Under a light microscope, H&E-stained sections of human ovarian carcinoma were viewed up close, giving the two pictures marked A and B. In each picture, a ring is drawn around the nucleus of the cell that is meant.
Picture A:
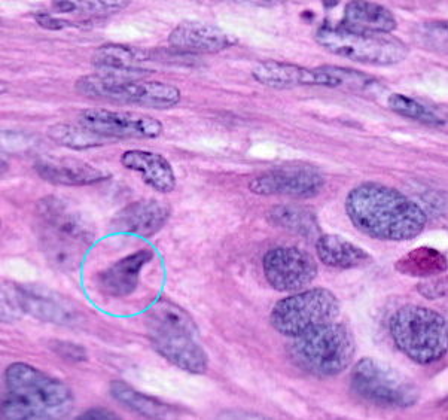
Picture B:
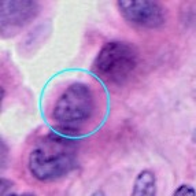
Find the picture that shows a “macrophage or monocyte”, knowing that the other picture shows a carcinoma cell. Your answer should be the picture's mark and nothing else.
A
